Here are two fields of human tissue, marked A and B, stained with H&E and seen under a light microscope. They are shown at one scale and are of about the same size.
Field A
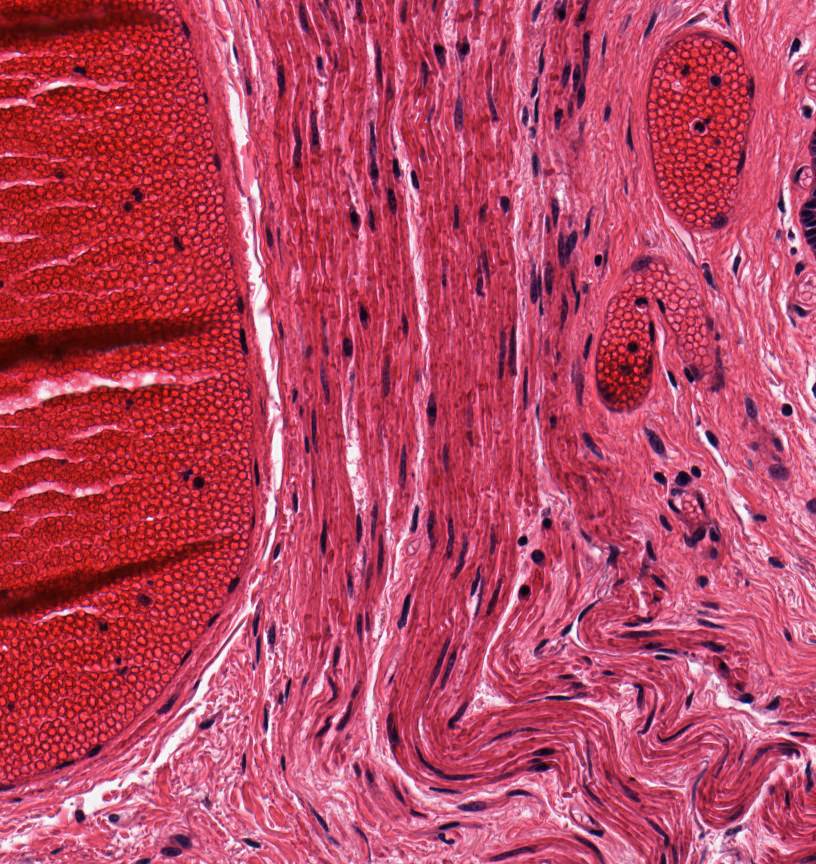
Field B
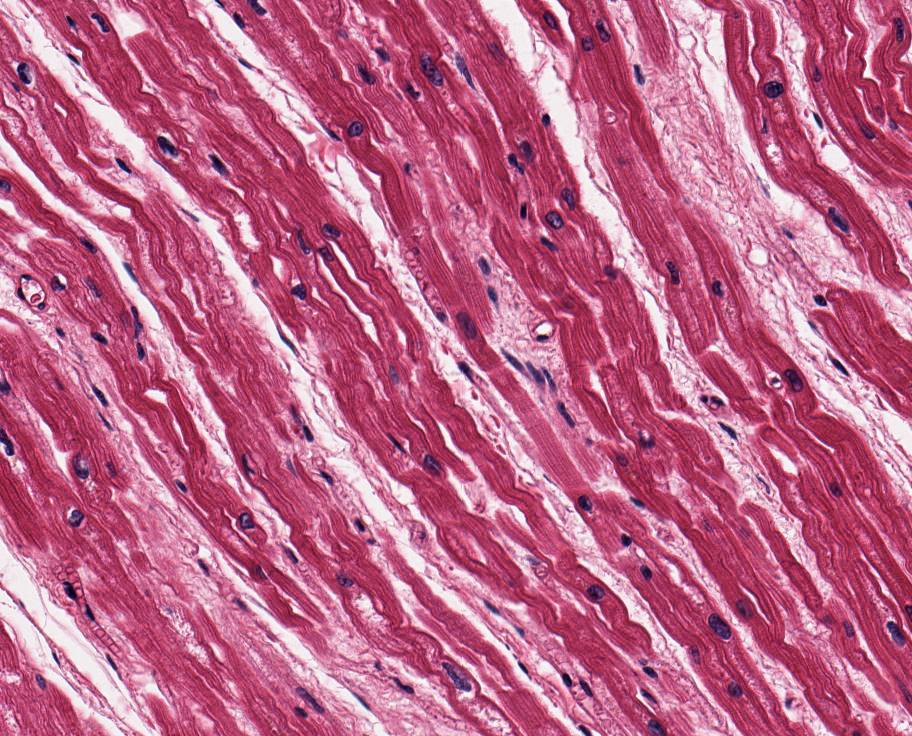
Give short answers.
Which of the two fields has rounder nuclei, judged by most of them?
B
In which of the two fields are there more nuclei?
A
